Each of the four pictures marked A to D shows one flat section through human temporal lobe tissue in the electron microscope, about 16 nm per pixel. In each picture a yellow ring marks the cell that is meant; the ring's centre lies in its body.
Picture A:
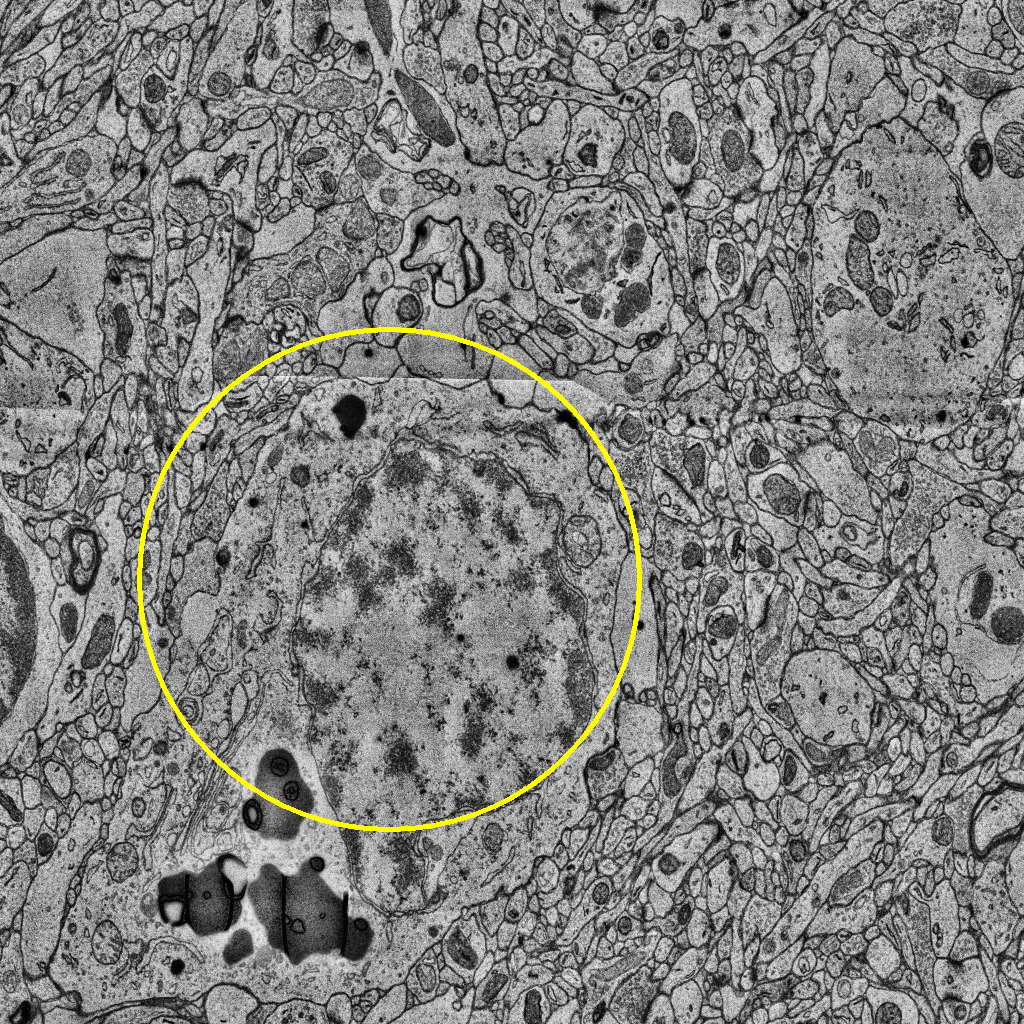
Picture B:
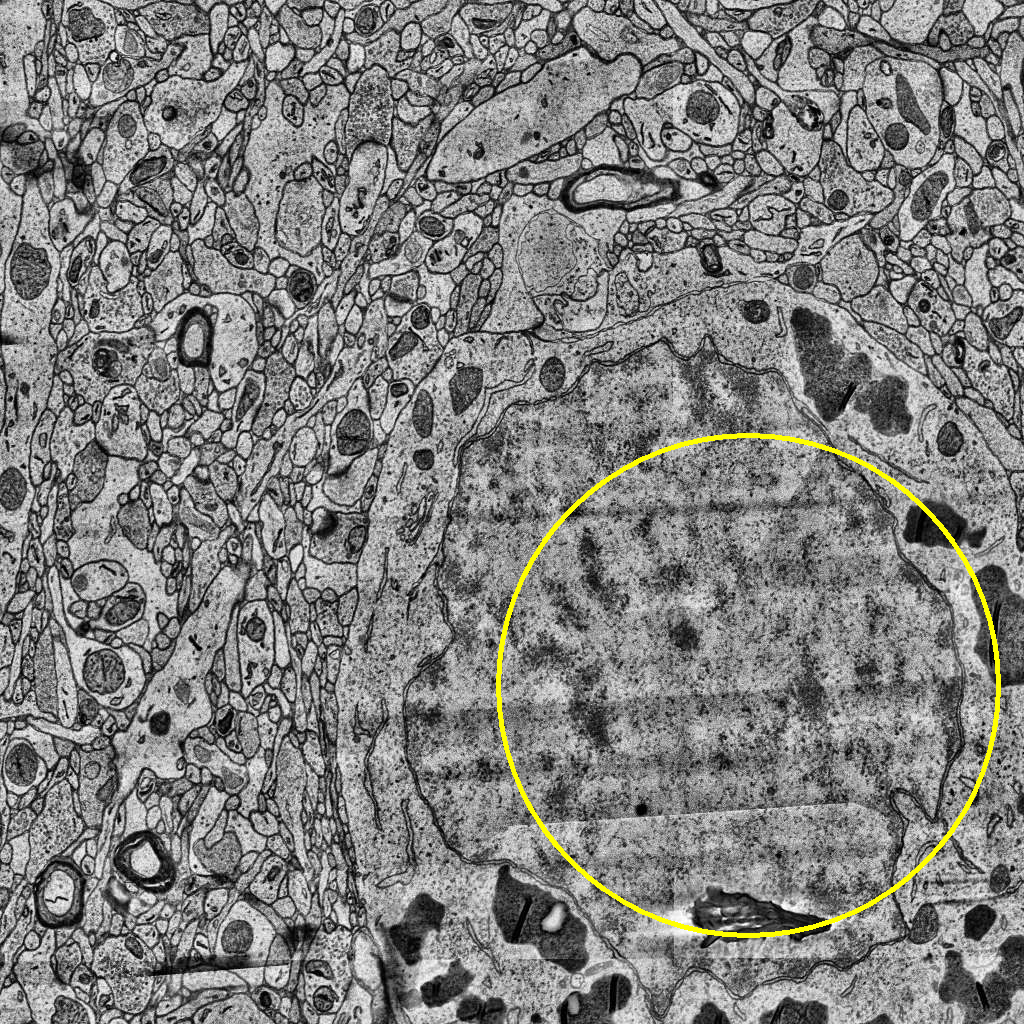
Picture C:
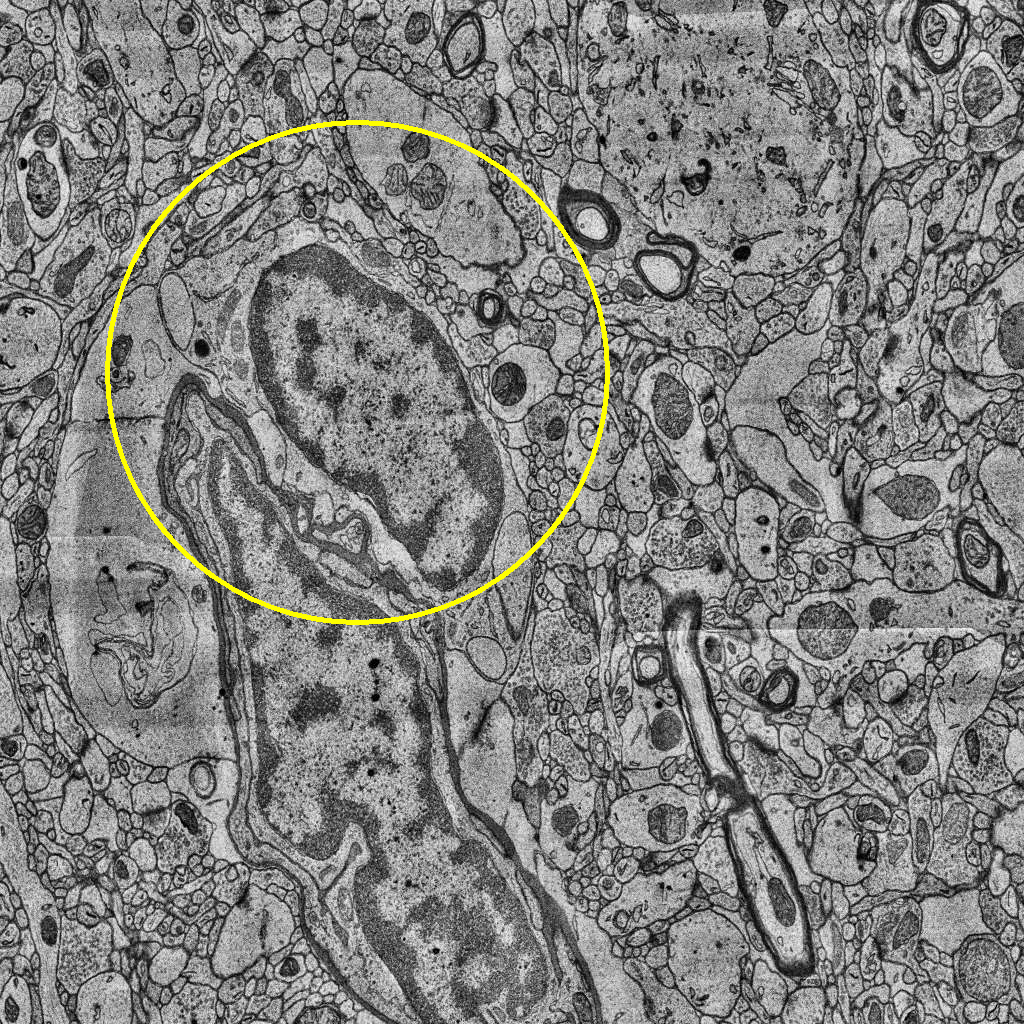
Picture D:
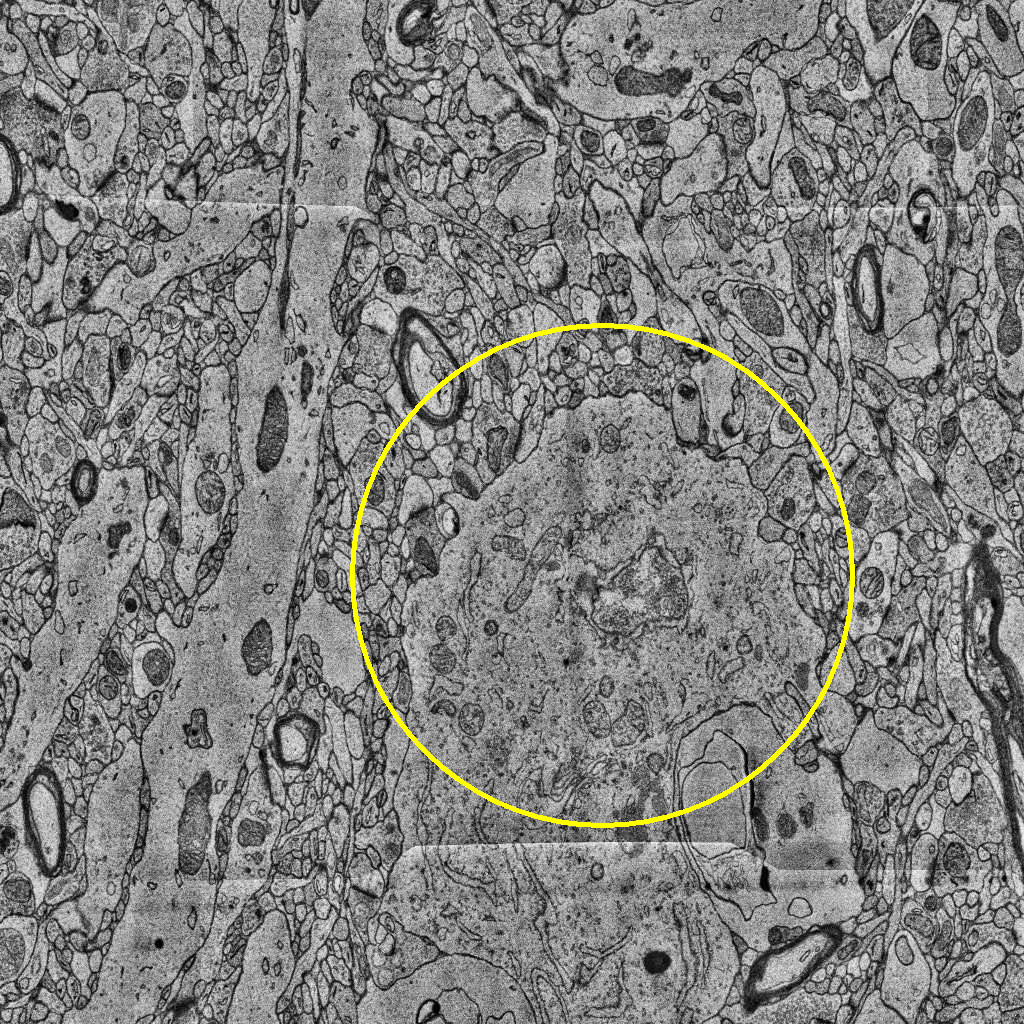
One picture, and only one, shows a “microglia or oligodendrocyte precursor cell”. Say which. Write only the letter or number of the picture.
C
